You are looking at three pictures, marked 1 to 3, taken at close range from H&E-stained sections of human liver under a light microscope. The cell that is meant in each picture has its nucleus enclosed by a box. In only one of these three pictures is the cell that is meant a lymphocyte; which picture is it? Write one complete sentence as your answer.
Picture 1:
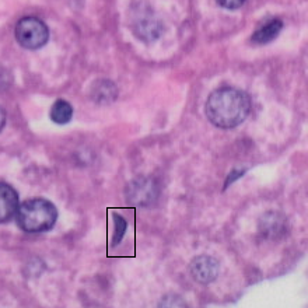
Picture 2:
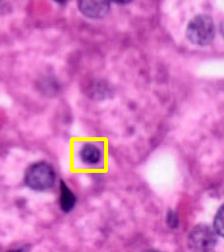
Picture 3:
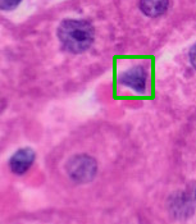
The picture with the lymphocyte is 2.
